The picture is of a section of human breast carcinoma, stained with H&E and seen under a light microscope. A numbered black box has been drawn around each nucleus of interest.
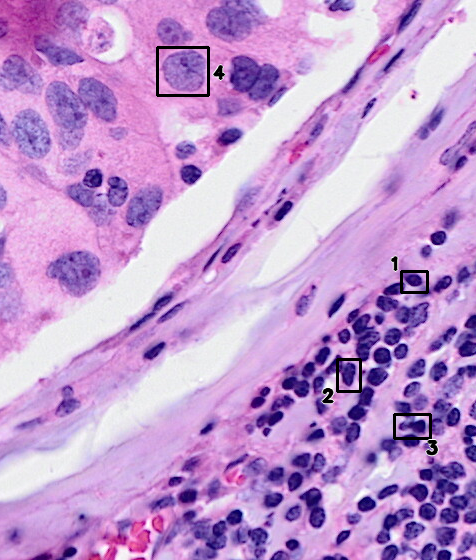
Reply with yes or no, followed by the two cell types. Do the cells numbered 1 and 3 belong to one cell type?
Yes, by their numbers, cells 1 and 3 are both lymphocytes.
